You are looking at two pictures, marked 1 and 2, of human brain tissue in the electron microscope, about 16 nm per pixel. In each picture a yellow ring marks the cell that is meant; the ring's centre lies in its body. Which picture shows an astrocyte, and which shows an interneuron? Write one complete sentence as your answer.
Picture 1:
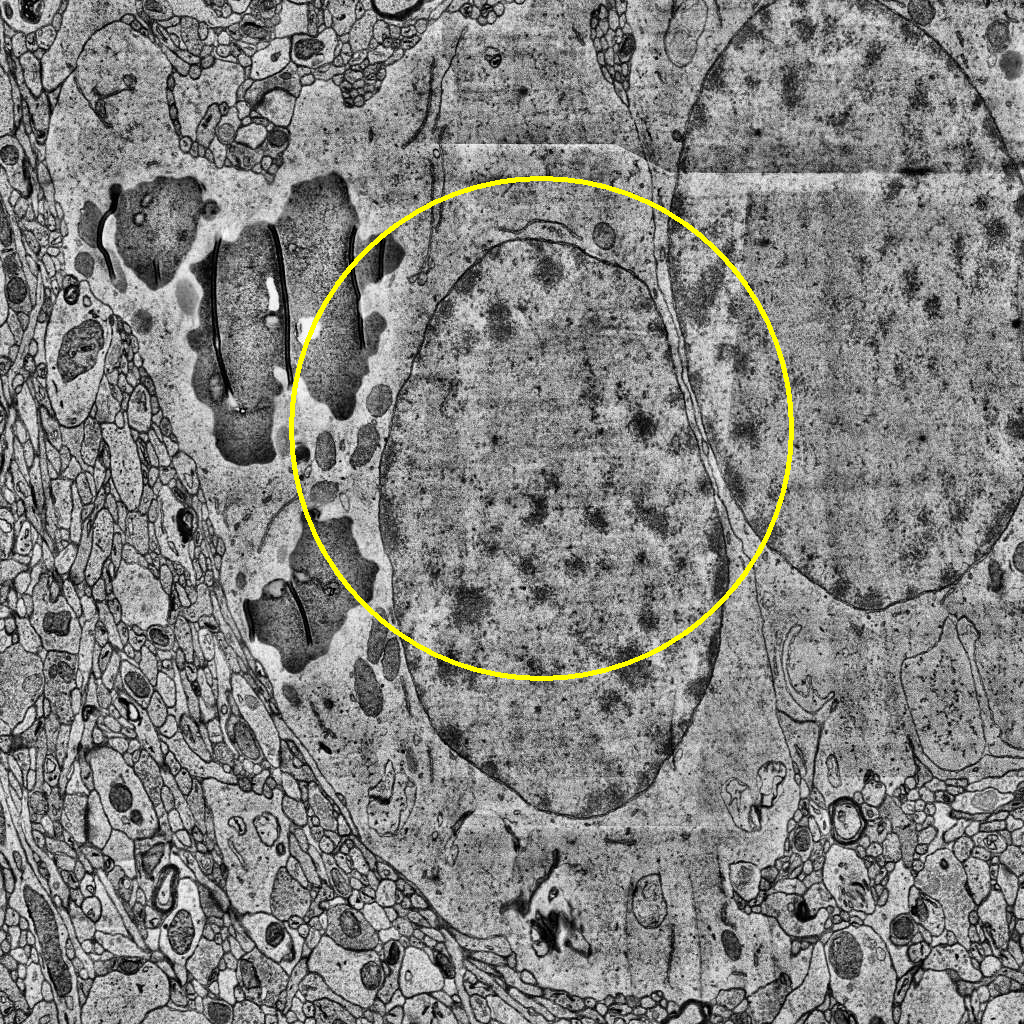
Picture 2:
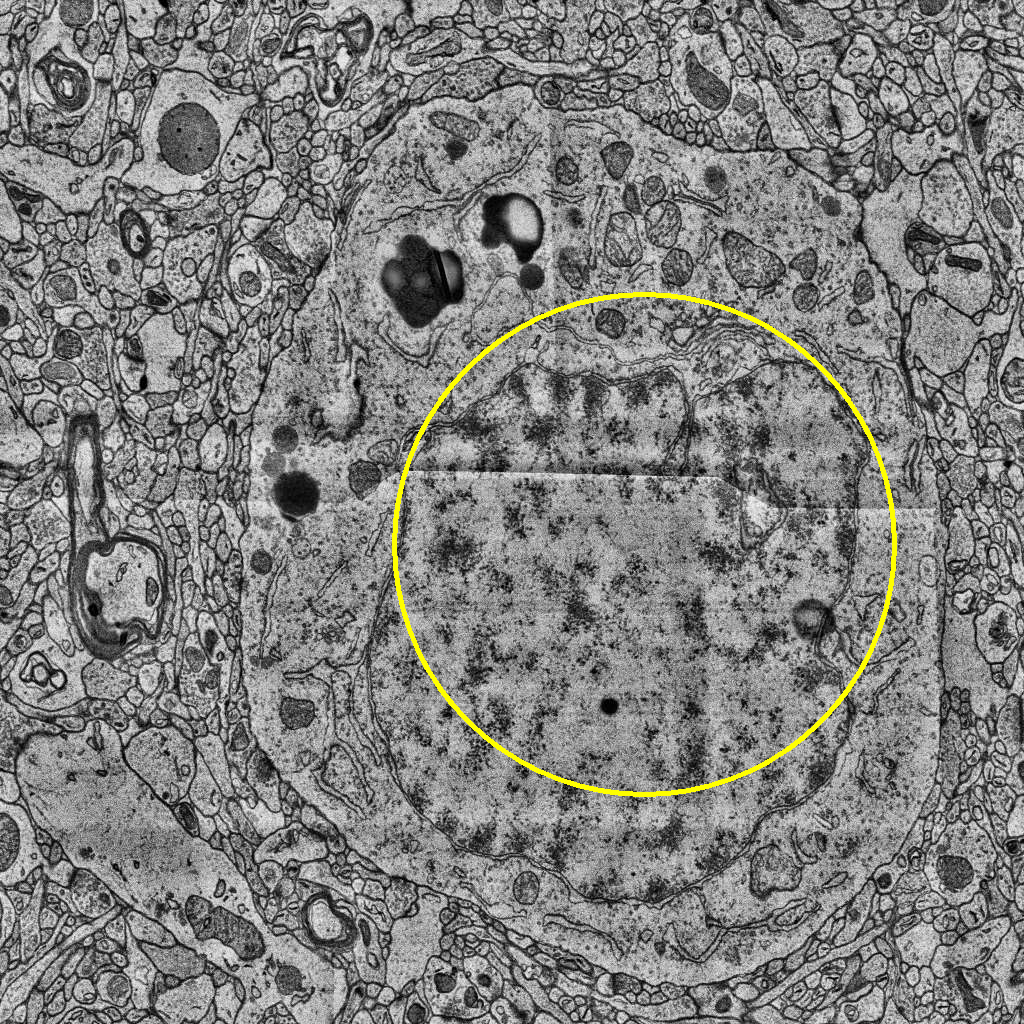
Picture 1 is of an astrocyte, and picture 2 is of an interneuron.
